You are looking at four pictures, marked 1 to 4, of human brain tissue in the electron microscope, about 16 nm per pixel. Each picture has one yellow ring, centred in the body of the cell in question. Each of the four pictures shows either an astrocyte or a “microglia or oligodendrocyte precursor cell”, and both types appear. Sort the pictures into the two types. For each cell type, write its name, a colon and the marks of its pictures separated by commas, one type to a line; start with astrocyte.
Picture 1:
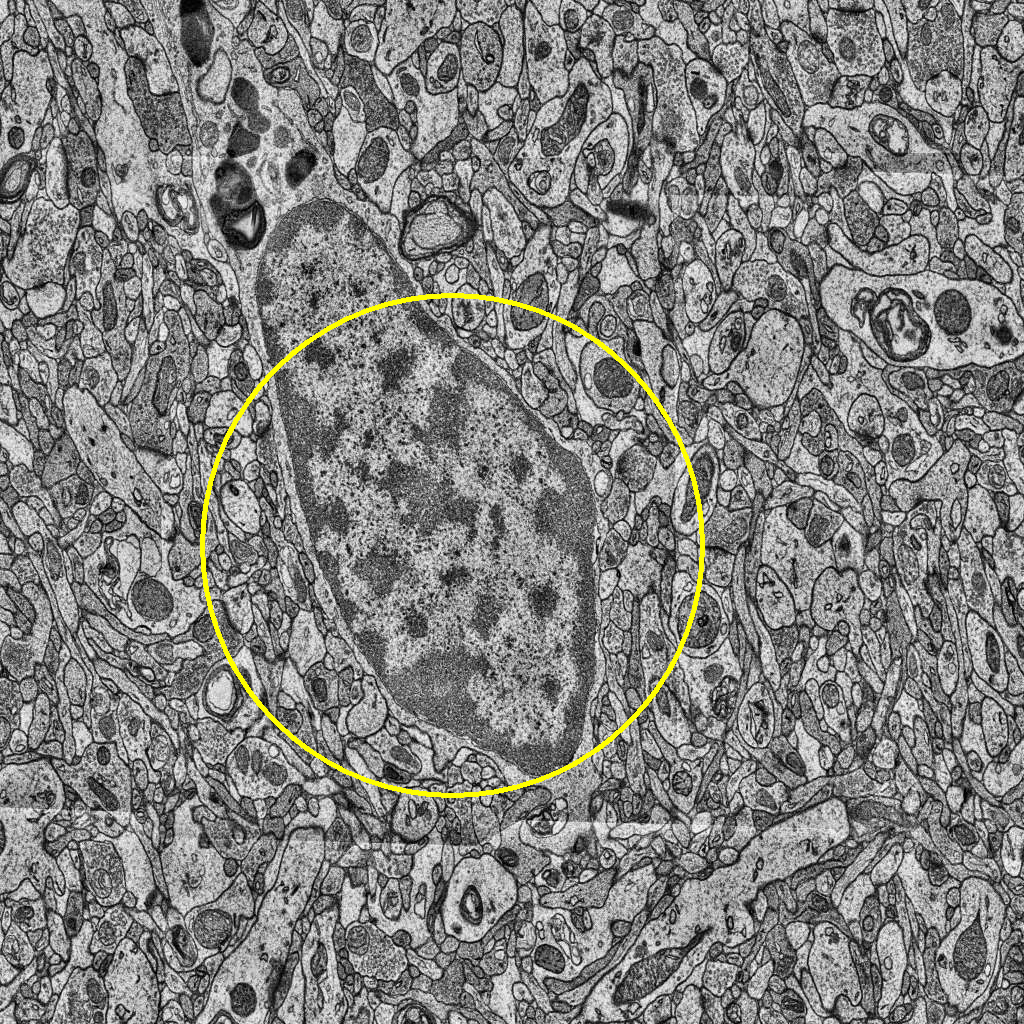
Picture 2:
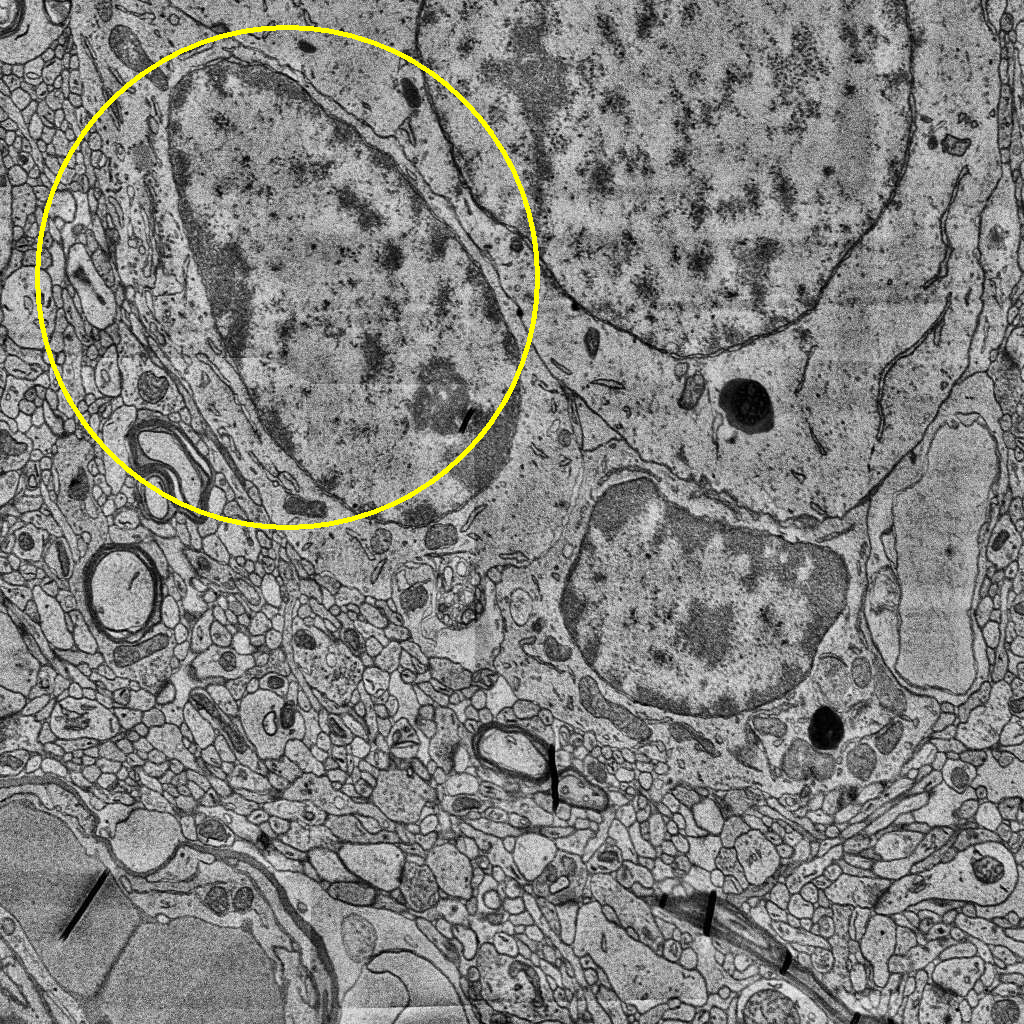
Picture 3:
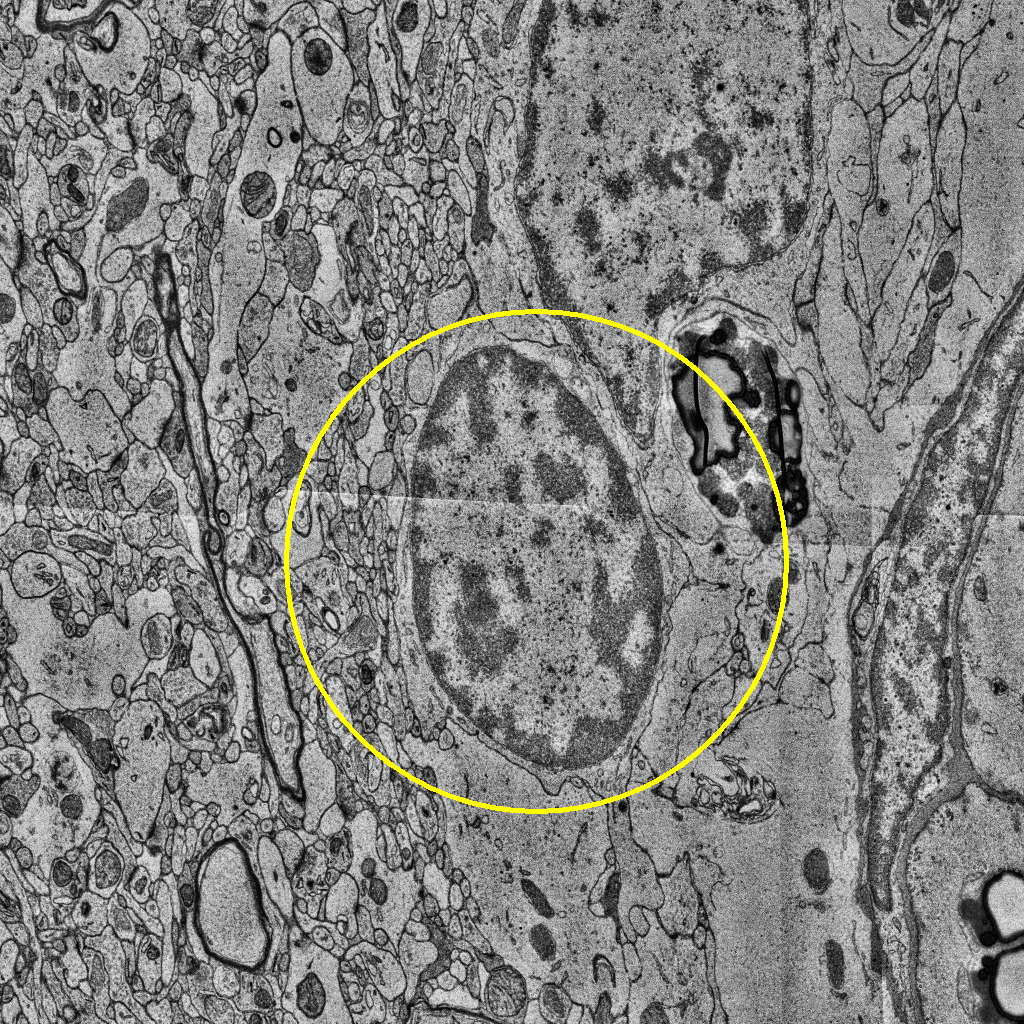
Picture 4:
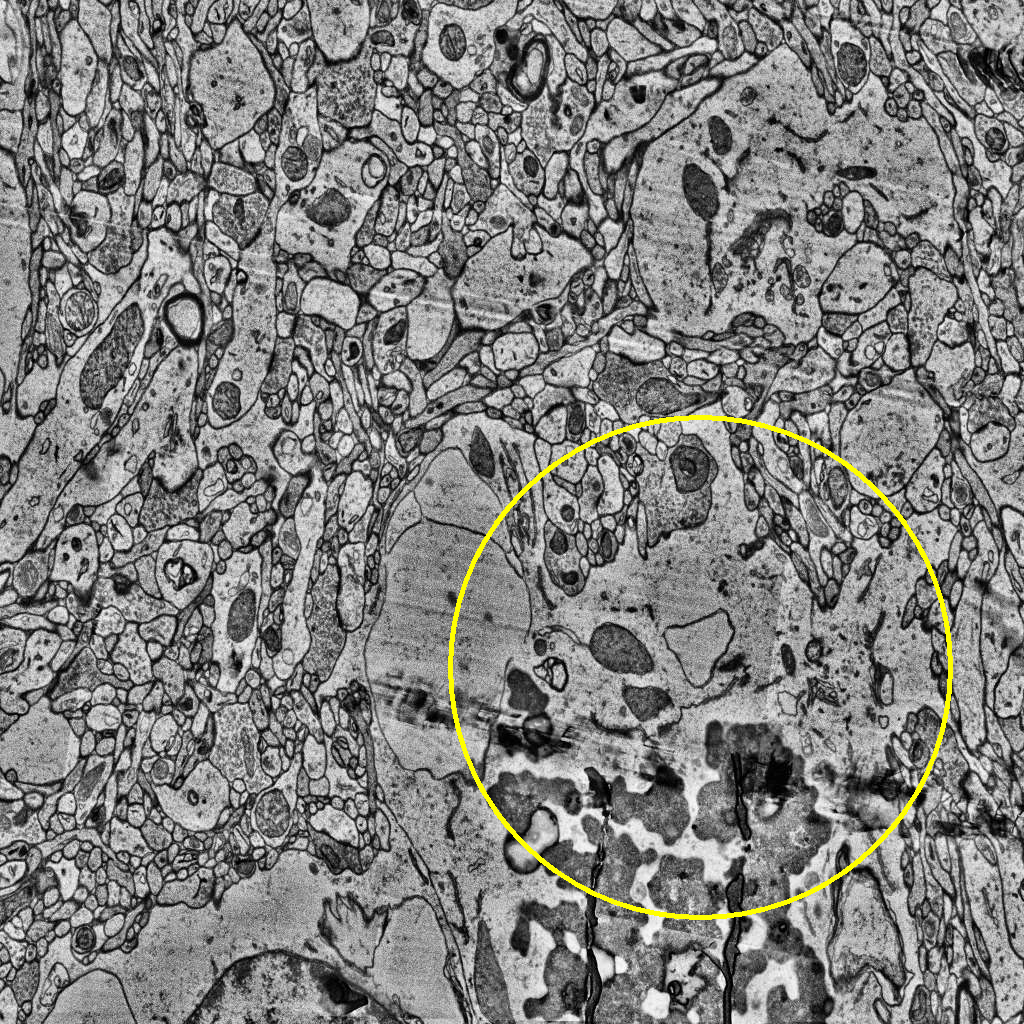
astrocyte: 4
microglia or oligodendrocyte precursor cell: 1, 2, 3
